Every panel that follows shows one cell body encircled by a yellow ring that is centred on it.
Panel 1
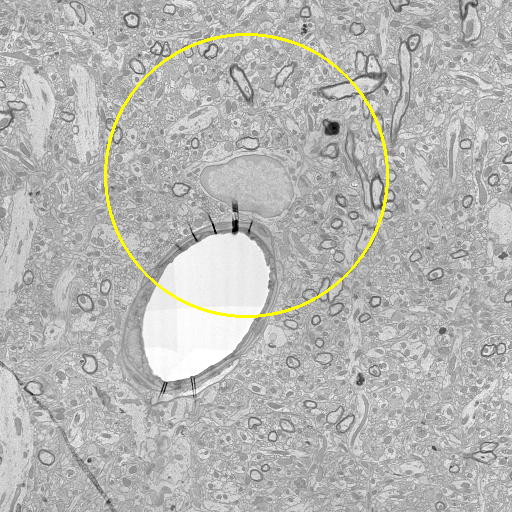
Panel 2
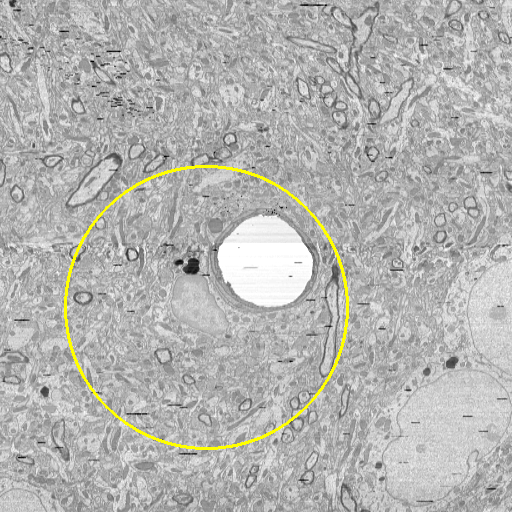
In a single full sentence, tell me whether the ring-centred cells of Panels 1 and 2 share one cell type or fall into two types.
In Panel 1 and Panel 2, the cells at the ring centres share one cell type.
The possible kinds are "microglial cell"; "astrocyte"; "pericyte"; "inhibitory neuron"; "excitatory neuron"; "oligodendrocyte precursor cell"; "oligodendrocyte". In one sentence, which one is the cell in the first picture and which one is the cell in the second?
The cell at the ring centre is a microglial cell in both pictures.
